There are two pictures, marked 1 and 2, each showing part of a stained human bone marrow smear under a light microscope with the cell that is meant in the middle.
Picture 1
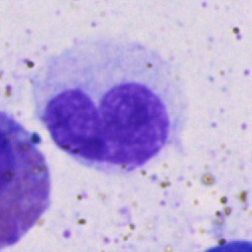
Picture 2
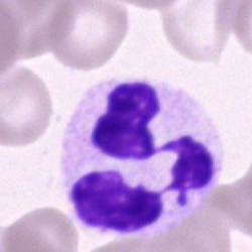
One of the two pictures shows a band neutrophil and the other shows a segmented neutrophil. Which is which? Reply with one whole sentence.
It is picture 1 that shows a band neutrophil, and picture 2 that shows a segmented neutrophil.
